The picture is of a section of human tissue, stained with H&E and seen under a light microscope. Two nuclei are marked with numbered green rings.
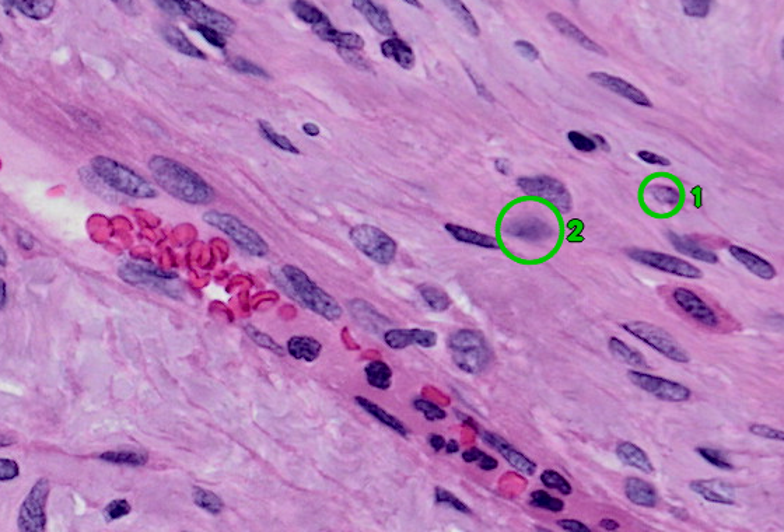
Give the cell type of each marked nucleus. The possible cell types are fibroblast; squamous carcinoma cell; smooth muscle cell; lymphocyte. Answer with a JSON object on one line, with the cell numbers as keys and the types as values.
{"1": "smooth muscle cell", "2": "fibroblast"}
